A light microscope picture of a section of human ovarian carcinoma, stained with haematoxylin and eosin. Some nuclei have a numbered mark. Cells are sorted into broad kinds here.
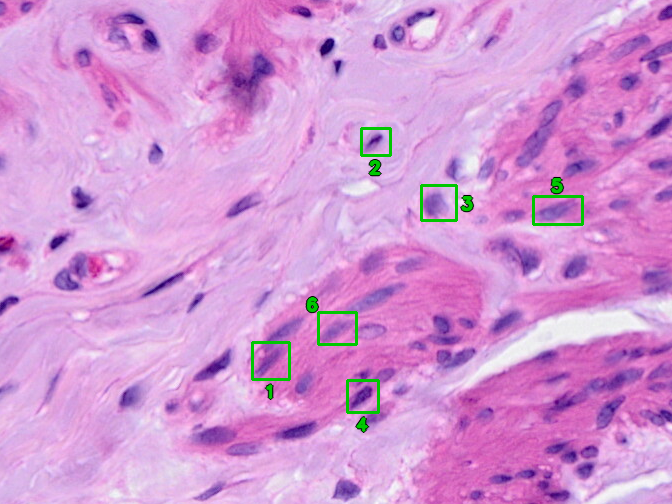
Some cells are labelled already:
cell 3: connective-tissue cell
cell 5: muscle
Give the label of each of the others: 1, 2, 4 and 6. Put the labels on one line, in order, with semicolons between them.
muscle; connective-tissue cell; muscle; muscle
